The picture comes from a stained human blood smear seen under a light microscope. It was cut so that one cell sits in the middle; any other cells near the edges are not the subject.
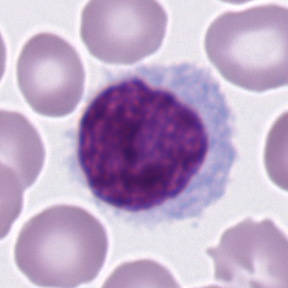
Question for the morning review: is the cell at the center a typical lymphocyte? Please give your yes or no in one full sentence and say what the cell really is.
No, instead of a typical lymphocyte, the centred cell represents a hairy cell.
